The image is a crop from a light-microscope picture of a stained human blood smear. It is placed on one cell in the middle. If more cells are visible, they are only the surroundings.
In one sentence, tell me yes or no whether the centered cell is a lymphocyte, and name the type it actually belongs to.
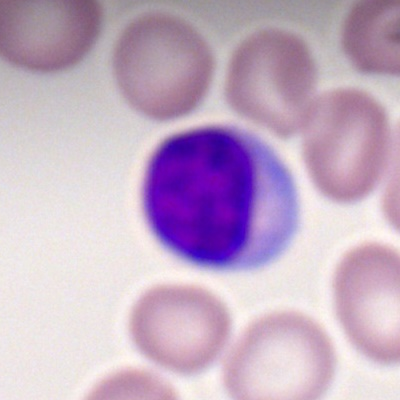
Yes, the centred cell is categorised as a lymphocyte.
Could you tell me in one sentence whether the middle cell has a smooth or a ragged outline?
Its surface contour is regular and smooth, without any protrusions.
